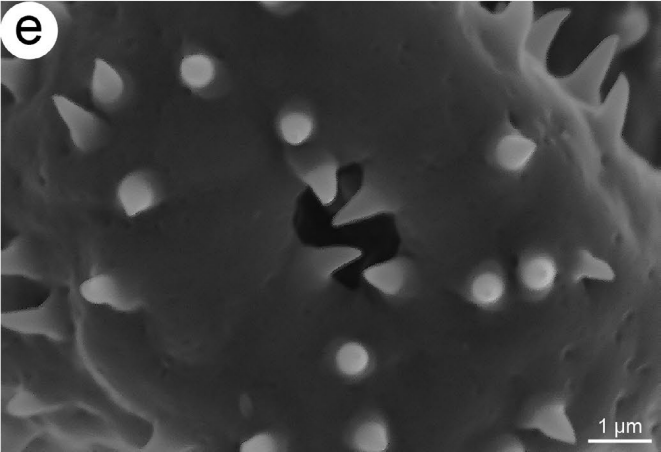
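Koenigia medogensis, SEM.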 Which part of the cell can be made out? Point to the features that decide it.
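A dark irregular opening lies in the middle of the wall surface. Spines surround and project into the opening. The surrounding wall is smooth with scattered conical spines.
Answer: aperture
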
